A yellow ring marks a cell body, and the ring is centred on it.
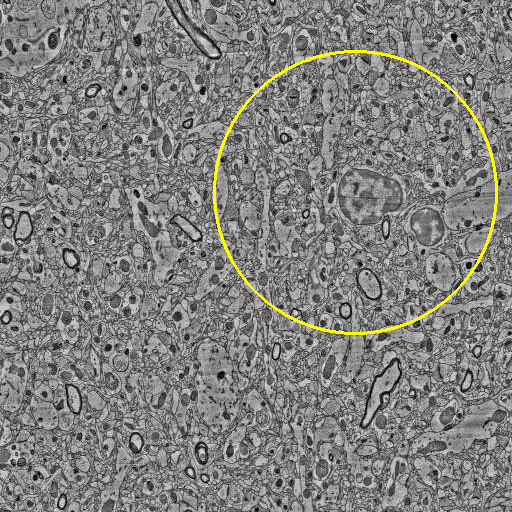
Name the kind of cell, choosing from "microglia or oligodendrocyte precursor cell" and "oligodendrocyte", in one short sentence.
The marked cell body belongs to a microglial cell or oligodendrocyte precursor cell.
